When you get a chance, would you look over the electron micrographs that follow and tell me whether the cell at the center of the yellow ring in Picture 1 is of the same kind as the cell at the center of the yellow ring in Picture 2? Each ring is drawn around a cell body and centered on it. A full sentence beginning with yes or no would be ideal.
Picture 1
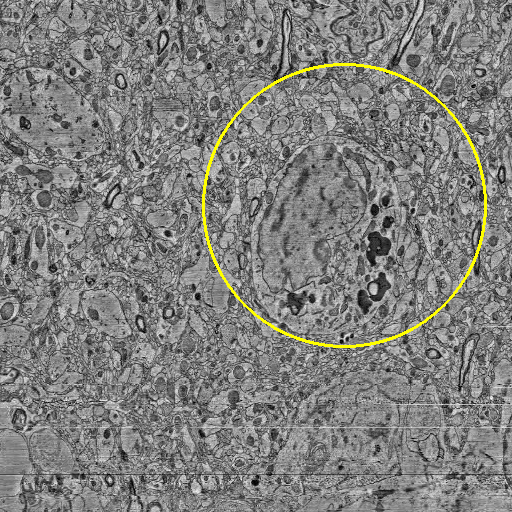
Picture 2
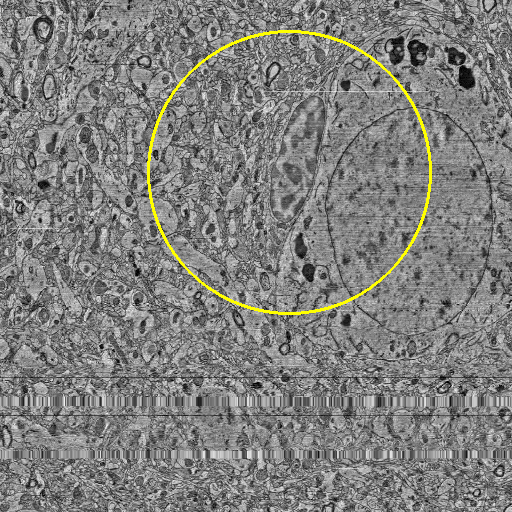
No, they are two kinds of cell.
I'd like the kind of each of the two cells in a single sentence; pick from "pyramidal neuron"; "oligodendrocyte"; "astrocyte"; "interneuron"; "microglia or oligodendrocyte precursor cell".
The first ring marks an interneuron, and the second ring marks a microglial cell or oligodendrocyte precursor cell.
